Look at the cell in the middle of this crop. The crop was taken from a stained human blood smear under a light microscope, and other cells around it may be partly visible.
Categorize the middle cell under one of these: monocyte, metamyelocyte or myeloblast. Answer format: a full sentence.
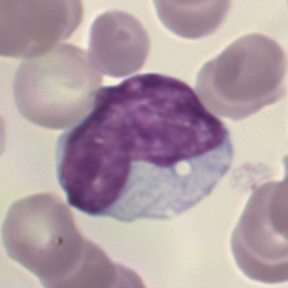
The cell in the middle of the field of view is a myeloblast.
